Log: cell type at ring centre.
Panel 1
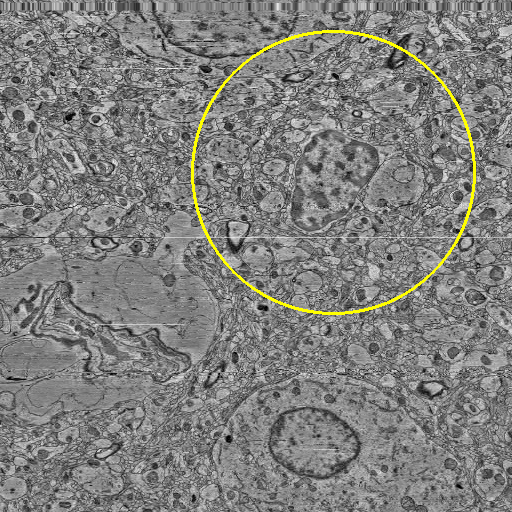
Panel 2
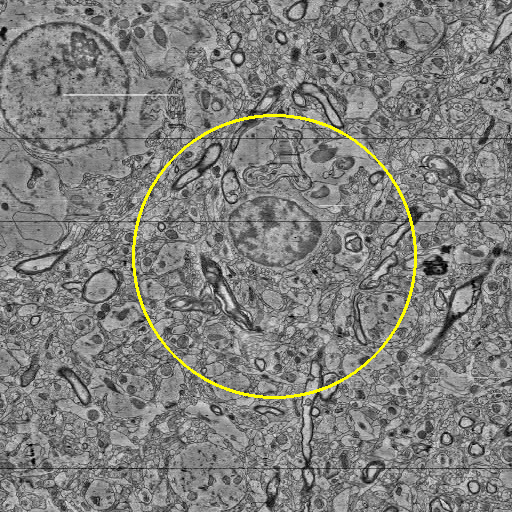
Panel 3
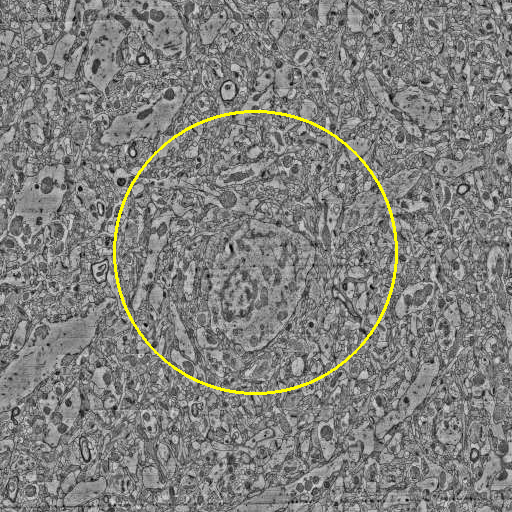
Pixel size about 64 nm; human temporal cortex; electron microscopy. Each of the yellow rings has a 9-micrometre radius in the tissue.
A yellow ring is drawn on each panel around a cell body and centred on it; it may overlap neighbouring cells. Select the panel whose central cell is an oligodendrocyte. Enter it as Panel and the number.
Panel 2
